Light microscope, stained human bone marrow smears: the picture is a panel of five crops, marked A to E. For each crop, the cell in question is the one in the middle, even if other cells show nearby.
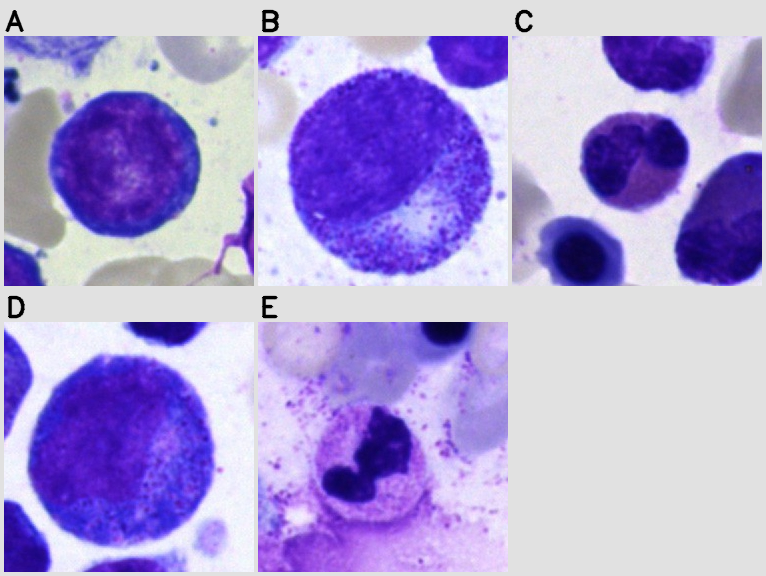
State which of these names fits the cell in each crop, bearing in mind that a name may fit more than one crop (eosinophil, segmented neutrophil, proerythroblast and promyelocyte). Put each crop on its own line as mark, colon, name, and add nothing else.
A: proerythroblast
B: promyelocyte
C: eosinophil
D: promyelocyte
E: segmented neutrophil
